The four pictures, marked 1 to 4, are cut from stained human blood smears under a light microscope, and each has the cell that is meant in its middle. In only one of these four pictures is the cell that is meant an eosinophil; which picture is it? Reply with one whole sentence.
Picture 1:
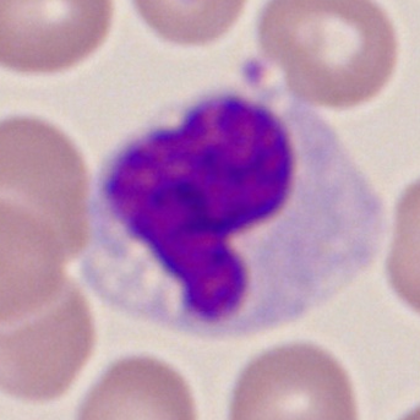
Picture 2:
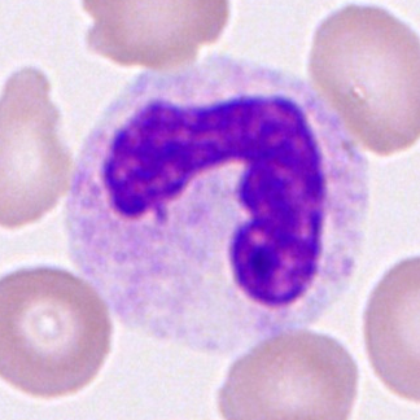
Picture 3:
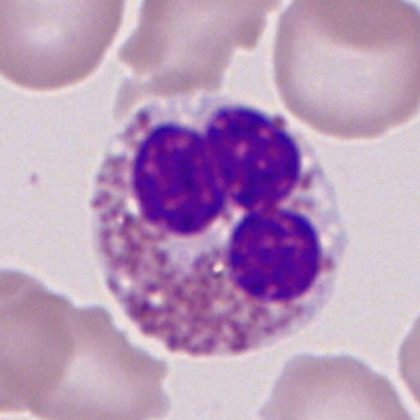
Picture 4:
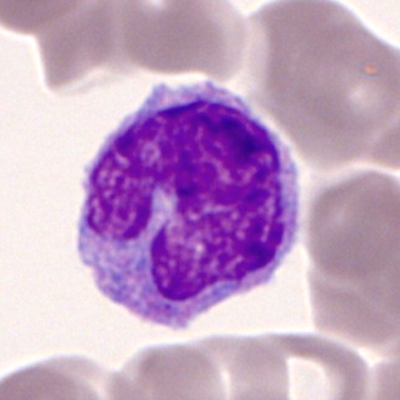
It is picture 3 that shows the eosinophil.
